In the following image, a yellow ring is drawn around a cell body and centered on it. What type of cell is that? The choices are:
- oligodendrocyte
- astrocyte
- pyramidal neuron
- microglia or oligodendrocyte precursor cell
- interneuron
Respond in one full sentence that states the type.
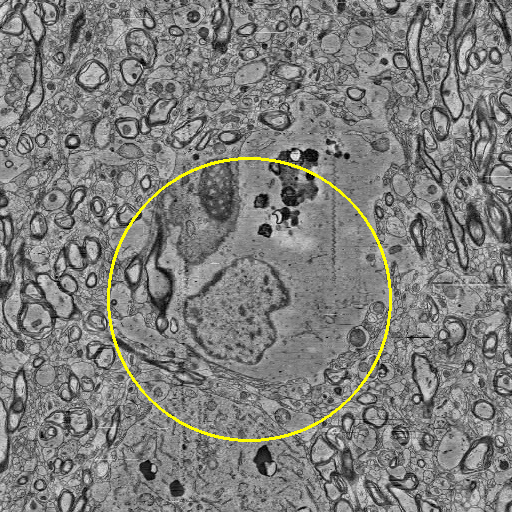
The cell at the center of the yellow ring in the image is an astrocyte.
